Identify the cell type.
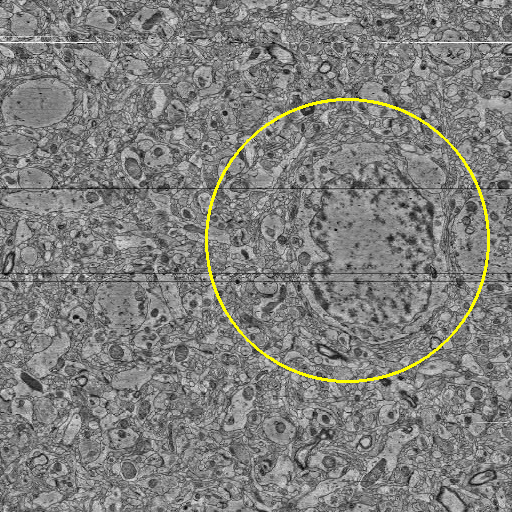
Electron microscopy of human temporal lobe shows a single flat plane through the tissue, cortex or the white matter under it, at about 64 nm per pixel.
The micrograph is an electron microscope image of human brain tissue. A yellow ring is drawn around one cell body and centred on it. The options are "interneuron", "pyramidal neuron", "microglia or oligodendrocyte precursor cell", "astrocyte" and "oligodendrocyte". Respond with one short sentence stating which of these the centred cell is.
The cell body in the ring belongs to an interneuron.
